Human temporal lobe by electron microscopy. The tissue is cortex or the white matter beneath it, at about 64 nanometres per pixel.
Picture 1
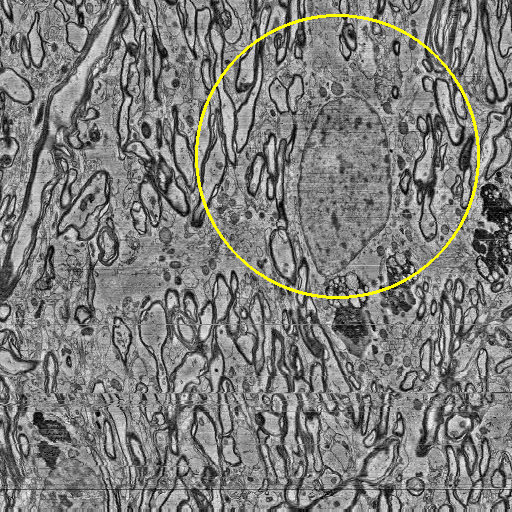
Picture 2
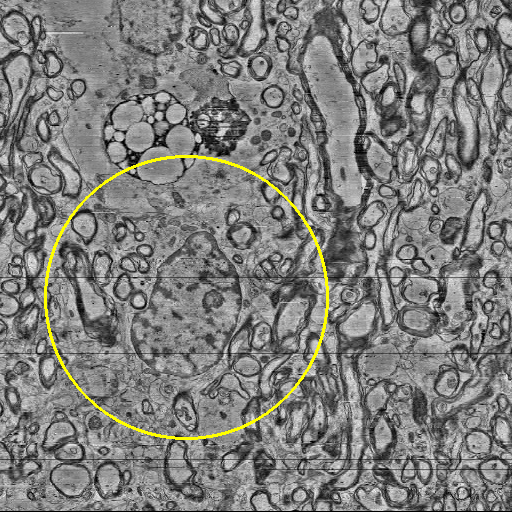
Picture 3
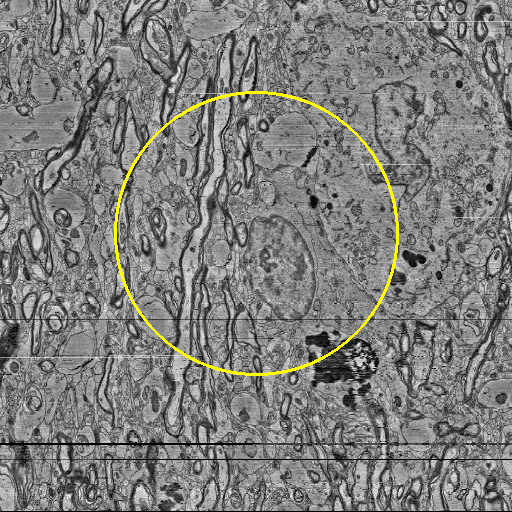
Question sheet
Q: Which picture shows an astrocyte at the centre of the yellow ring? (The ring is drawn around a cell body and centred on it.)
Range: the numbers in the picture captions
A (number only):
1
